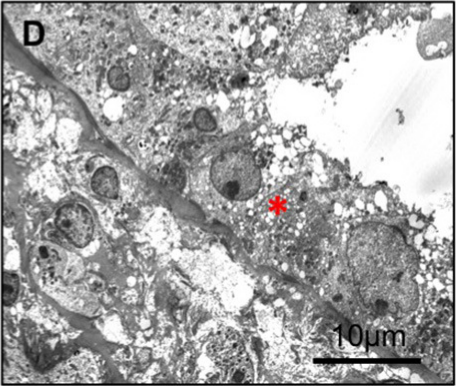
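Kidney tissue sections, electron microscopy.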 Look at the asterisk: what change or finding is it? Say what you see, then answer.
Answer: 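Cytoplasm vacuolization. The cytoplasm around the asterisk is filled with many clear round vacuoles of varying size.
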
